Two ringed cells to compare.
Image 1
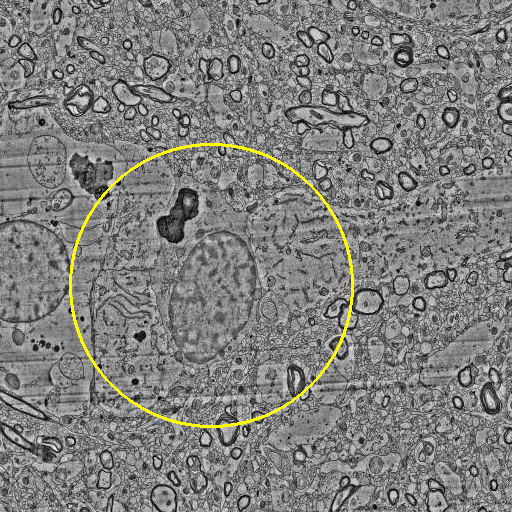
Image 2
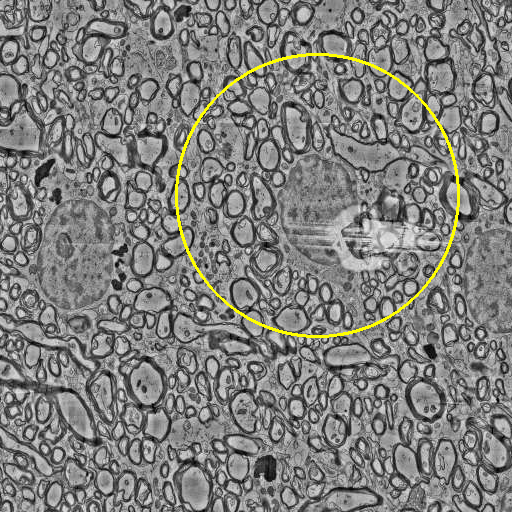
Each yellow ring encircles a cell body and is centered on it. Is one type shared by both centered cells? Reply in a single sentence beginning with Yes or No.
Yes, a single type is shared by the two cells at the centers of the rings.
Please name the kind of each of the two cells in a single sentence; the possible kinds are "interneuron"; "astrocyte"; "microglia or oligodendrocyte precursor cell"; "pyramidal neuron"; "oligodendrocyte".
Each of the two pictures has an oligodendrocyte at the ring centre.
